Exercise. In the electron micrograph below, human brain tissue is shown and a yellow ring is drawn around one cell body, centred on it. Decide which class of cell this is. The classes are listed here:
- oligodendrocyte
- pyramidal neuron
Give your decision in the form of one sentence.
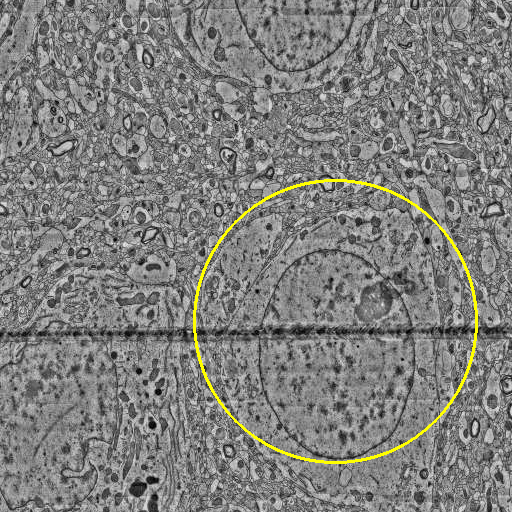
The cell body marked by the ring belongs to a pyramidal neuron.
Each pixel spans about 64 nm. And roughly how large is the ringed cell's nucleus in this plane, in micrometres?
The ringed cell's nucleus is about 13 micrometres long and 10 micrometres wide in this plane.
